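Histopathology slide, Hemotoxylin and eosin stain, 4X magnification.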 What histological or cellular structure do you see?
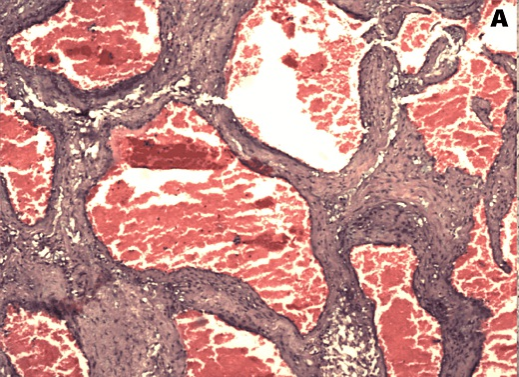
Dilated vascular channels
